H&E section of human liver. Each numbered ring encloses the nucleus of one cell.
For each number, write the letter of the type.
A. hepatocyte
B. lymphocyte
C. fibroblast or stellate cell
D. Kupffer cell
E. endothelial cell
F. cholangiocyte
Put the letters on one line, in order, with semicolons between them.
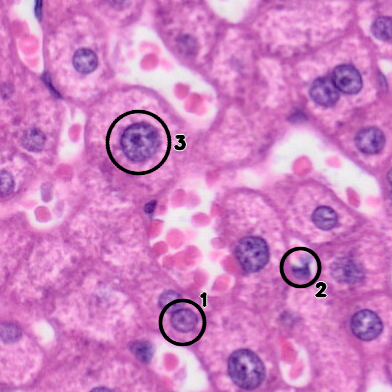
A; E; A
